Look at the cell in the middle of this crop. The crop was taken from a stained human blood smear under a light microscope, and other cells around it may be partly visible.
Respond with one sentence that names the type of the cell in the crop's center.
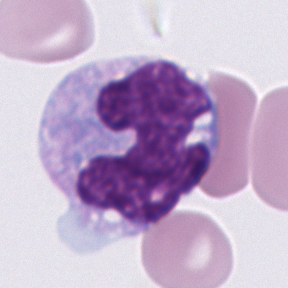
The cell centred in this crop is categorized as a monocyte.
